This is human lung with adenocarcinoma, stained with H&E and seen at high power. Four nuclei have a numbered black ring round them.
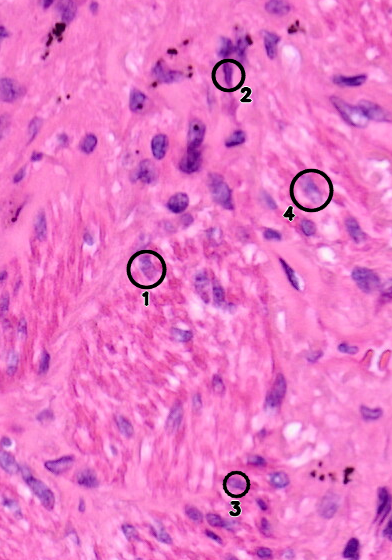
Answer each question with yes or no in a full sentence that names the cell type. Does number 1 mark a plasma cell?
No, the cell bearing number 1 is not a plasma cell but a smooth muscle cell or pericyte.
